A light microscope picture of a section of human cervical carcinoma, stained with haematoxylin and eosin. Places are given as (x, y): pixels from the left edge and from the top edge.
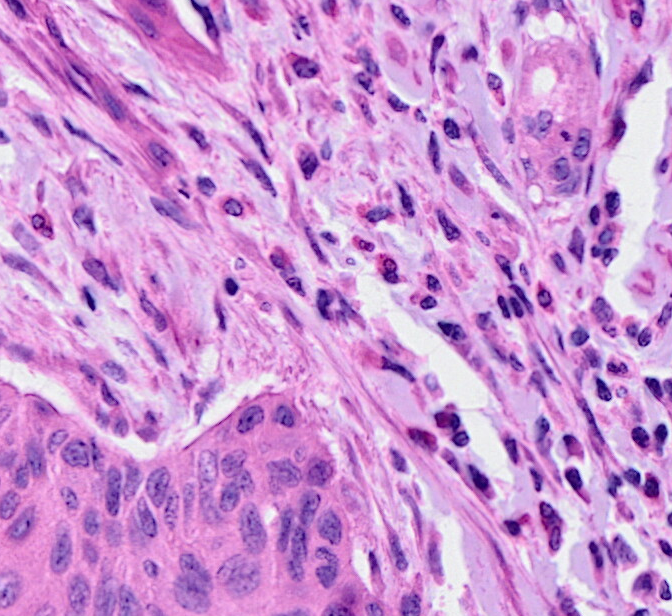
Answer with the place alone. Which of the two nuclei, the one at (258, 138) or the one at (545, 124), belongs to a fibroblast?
(258, 138)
